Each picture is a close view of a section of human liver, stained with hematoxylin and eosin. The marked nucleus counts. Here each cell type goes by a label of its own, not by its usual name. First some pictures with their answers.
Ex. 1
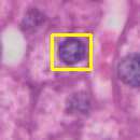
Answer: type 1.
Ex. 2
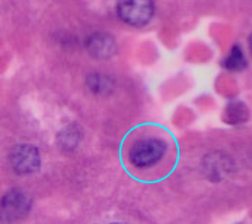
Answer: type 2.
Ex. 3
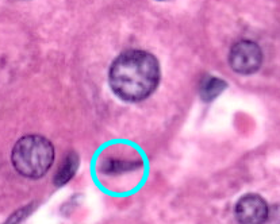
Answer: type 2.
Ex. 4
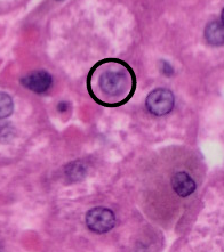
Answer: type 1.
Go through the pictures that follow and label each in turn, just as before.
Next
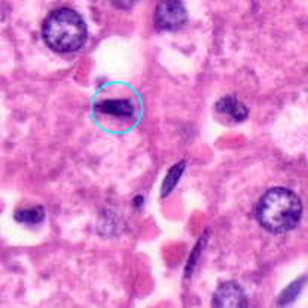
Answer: type 2.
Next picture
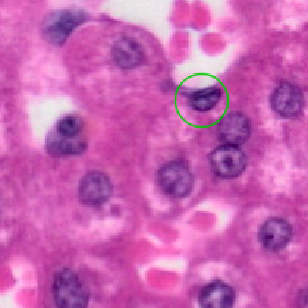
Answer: type 2.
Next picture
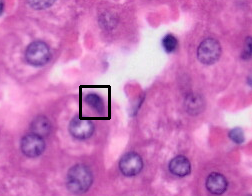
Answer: type 2.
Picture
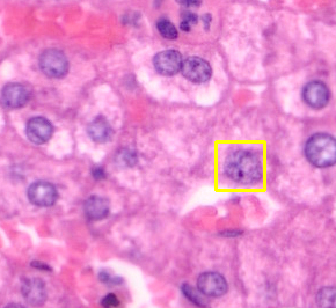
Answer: type 1.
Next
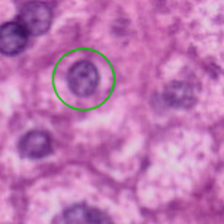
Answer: type 1.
